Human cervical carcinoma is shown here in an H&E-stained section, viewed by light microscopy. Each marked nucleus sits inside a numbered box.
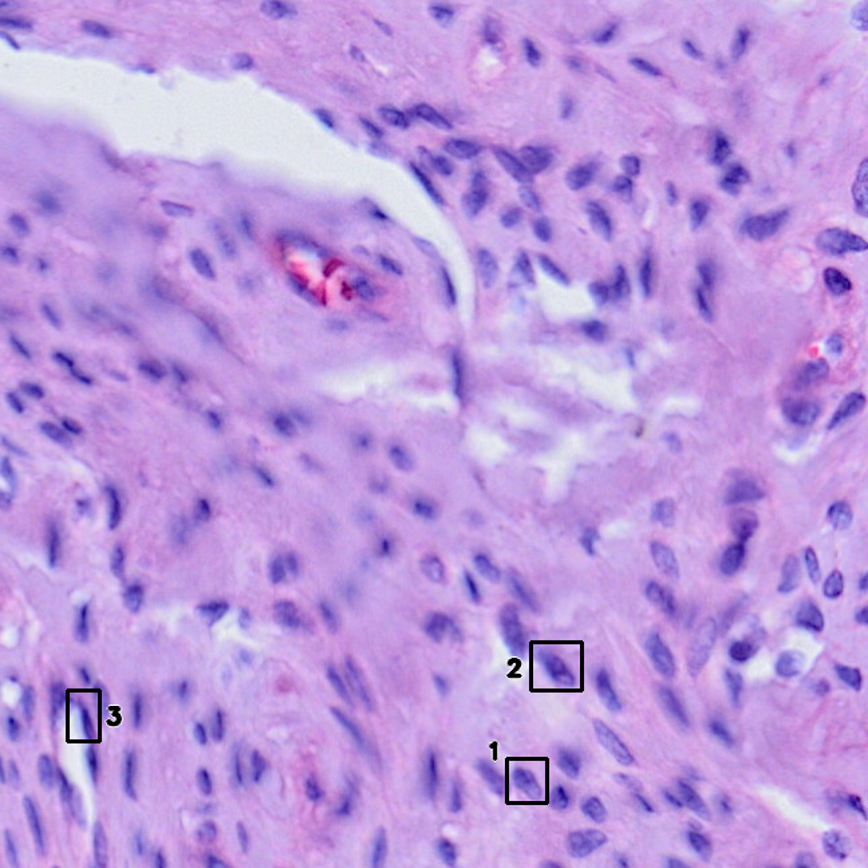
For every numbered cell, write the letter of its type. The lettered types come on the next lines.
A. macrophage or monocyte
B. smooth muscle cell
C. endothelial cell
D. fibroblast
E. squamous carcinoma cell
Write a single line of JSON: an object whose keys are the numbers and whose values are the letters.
{"1": "D", "2": "D", "3": "C"}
